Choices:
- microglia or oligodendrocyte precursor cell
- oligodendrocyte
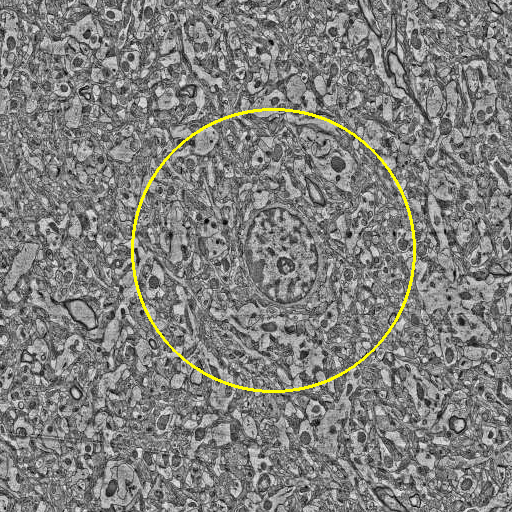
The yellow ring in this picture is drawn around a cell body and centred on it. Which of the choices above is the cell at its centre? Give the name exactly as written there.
oligodendrocyte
